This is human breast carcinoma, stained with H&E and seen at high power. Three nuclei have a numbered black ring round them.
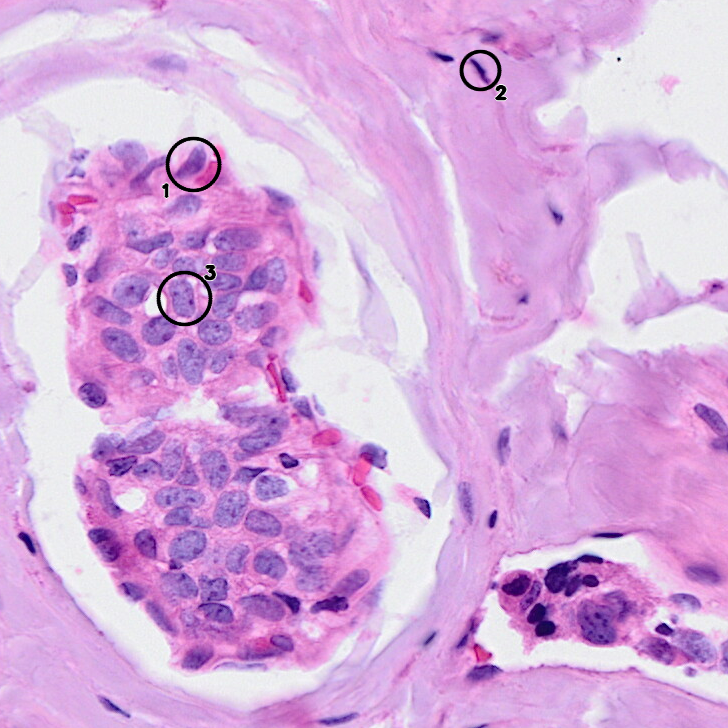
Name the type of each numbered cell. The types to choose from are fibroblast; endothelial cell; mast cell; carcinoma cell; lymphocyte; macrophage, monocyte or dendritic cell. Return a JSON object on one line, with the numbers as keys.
{"1": "endothelial cell", "2": "fibroblast", "3": "carcinoma cell"}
